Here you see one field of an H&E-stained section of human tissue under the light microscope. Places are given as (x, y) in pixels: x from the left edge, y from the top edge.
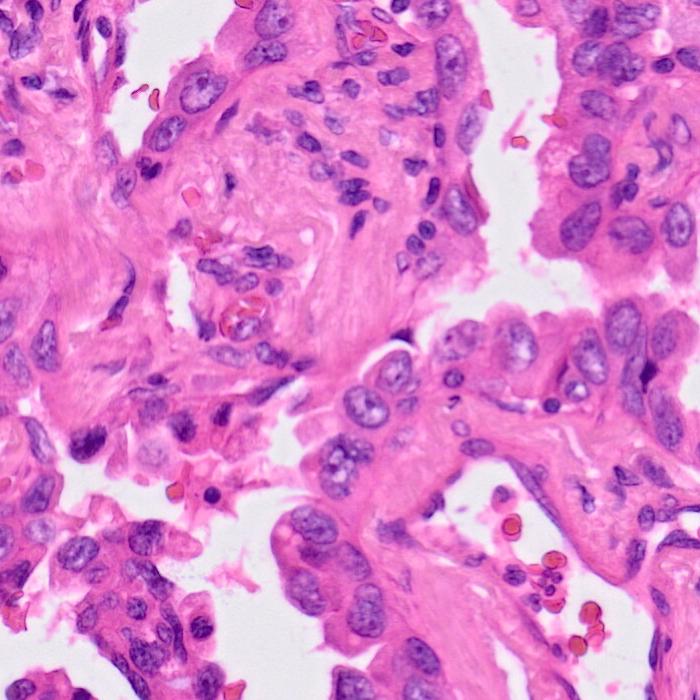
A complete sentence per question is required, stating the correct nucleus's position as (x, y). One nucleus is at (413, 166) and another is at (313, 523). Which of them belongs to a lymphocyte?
Of the pair, the nucleus positioned at (413, 166) is that of a lymphocyte.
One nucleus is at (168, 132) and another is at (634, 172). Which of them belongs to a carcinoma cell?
The nucleus at (168, 132) is contained in a carcinoma cell.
